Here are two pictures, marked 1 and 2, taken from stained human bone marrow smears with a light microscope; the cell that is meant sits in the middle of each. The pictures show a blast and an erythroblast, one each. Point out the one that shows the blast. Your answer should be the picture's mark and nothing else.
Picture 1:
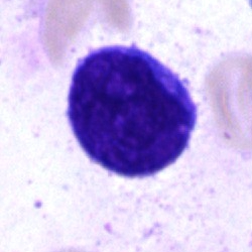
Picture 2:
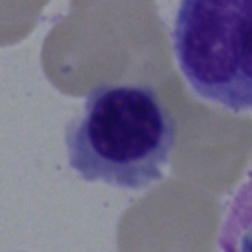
1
